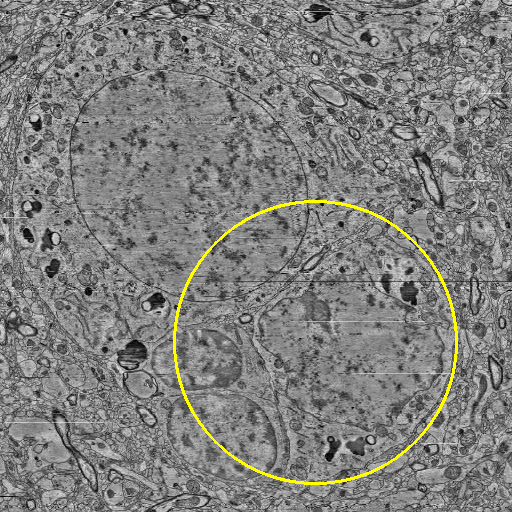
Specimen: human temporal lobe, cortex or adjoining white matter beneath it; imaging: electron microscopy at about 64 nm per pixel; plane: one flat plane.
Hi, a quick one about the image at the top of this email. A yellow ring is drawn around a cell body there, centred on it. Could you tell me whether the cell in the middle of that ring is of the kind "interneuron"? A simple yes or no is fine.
yes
